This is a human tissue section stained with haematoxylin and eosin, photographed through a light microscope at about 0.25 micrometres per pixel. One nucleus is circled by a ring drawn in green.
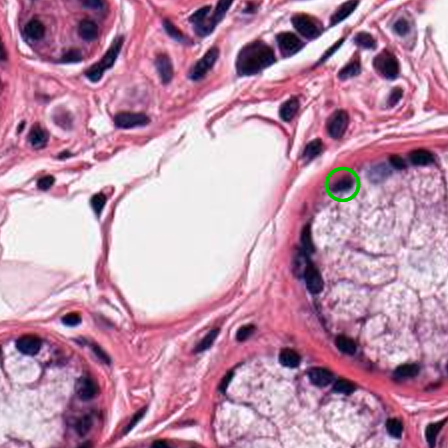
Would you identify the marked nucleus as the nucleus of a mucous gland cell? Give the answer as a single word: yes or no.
yes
